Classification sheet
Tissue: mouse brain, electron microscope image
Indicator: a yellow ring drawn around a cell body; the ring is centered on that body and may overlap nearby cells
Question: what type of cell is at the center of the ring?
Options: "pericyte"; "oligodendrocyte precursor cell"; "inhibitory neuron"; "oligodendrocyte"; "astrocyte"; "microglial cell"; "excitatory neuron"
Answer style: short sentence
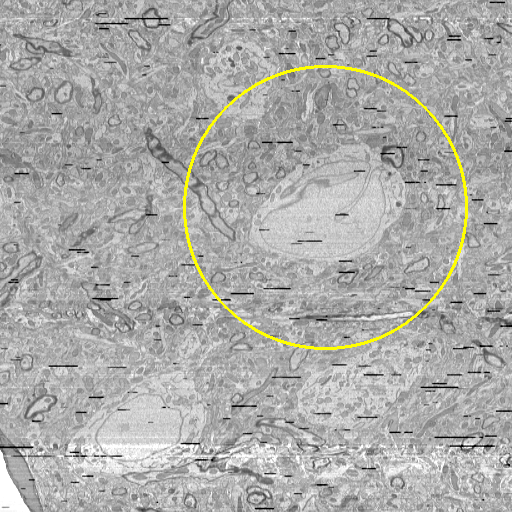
At the ring's center is an inhibitory neuron.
